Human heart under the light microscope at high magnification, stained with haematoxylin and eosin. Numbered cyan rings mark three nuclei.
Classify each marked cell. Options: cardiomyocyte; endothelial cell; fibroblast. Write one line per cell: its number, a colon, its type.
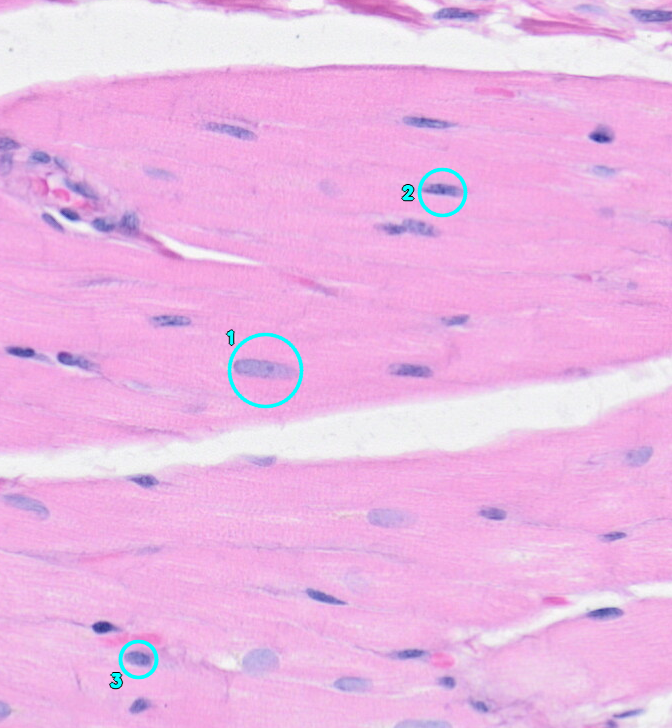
1: cardiomyocyte
2: endothelial cell
3: fibroblast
